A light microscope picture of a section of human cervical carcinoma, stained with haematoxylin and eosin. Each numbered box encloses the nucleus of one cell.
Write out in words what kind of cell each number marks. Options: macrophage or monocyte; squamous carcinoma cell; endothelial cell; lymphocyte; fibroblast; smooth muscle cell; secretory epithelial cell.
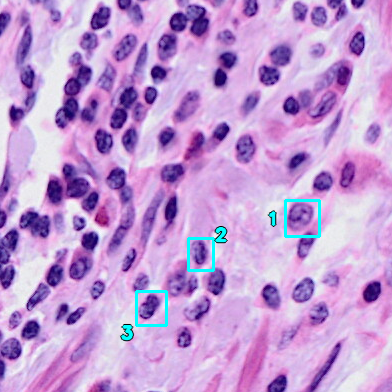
Cell 1 is a macrophage or monocyte, cell 2 is a lymphocyte and cell 3 is a lymphocyte.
